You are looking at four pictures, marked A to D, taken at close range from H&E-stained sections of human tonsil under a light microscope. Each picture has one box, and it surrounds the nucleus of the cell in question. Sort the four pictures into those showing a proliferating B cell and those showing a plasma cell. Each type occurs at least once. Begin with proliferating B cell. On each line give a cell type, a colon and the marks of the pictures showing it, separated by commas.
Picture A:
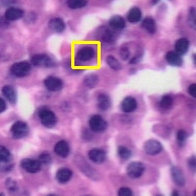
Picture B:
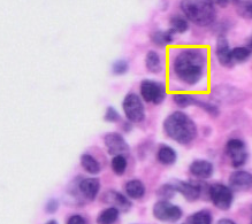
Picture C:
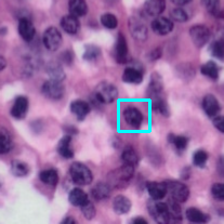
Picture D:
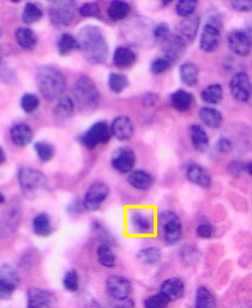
proliferating B cell: B
plasma cell: A, C, D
